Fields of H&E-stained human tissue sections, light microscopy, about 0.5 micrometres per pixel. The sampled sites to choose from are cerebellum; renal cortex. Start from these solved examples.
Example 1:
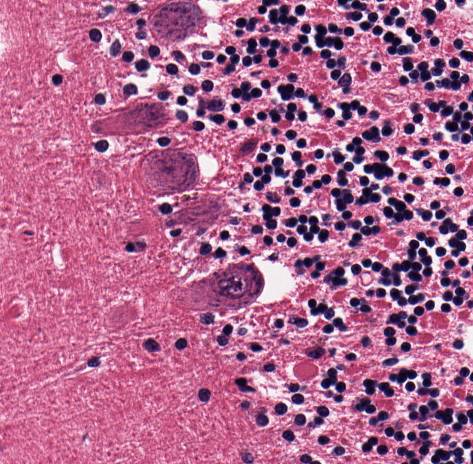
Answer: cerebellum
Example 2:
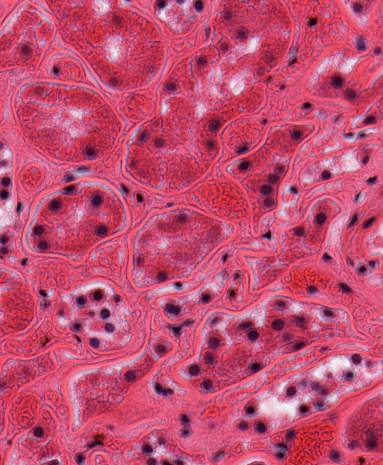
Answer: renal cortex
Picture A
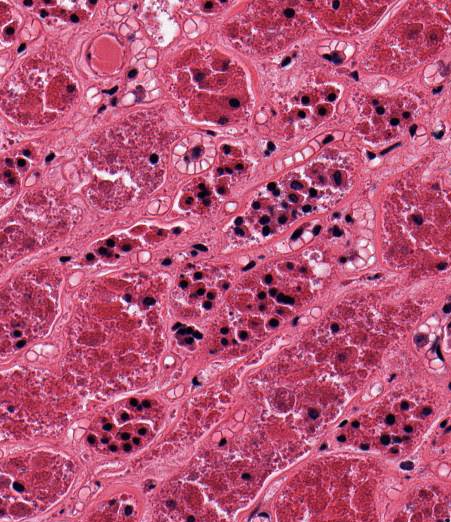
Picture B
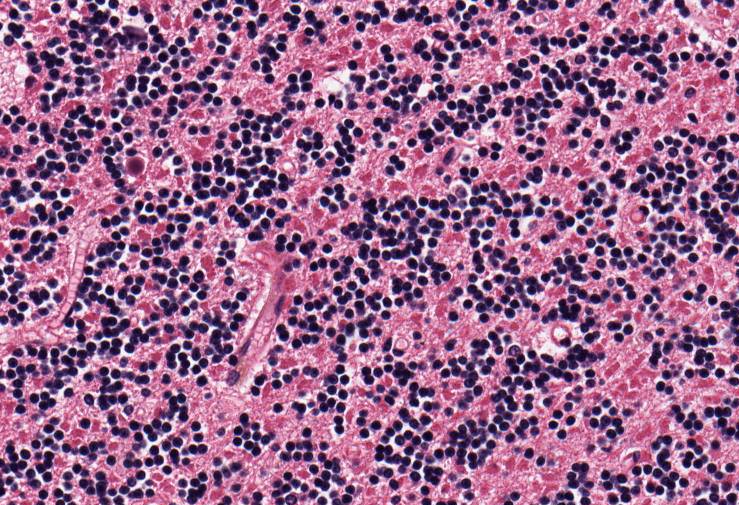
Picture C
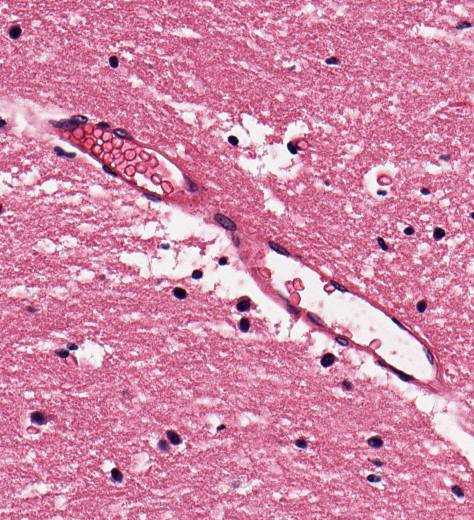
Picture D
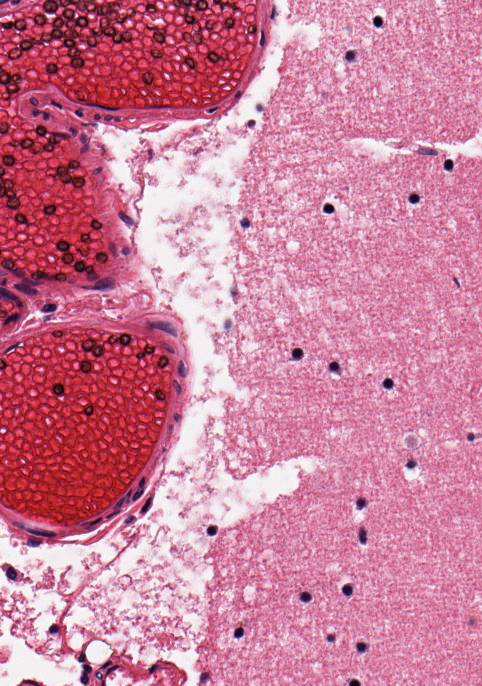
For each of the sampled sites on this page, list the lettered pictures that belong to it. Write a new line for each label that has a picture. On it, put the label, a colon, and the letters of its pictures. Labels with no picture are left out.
cerebellum: B, C, D
renal cortex: A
